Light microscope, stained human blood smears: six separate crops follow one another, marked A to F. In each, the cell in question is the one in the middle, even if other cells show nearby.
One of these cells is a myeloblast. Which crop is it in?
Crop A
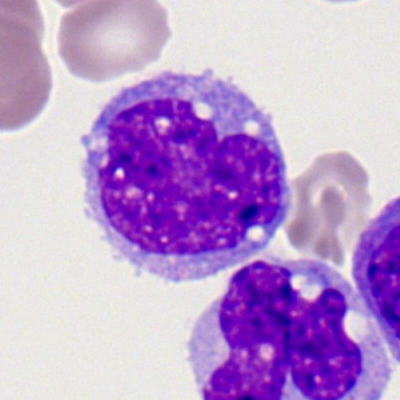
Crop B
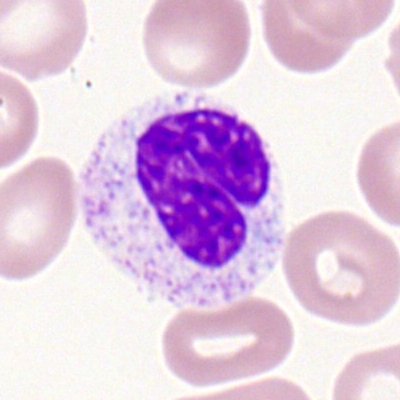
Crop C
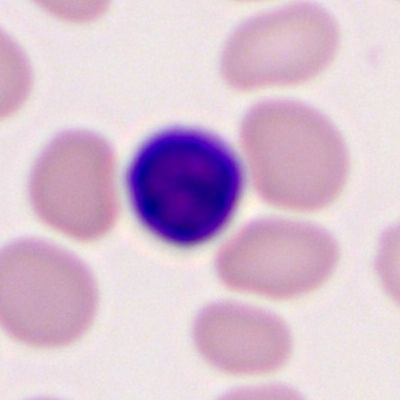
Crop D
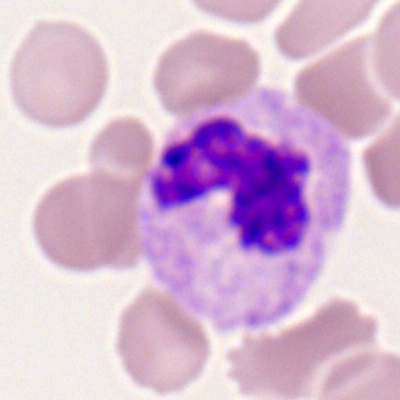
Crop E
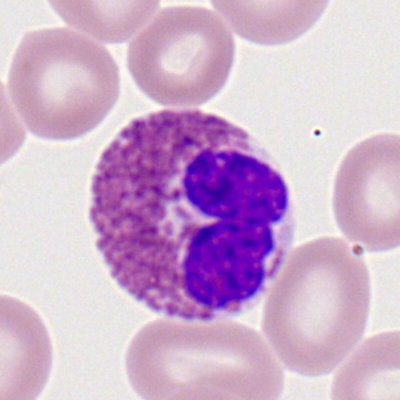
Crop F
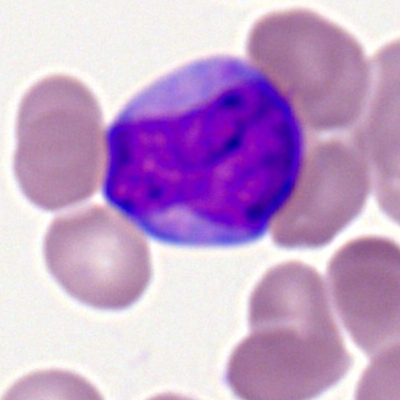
F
